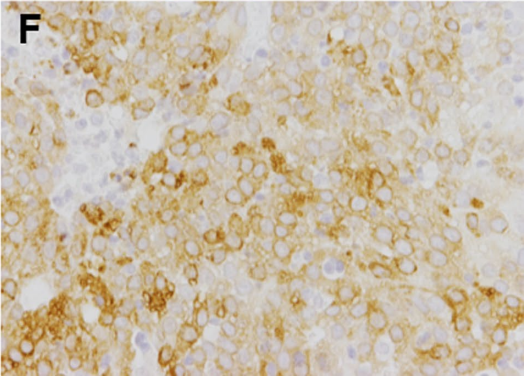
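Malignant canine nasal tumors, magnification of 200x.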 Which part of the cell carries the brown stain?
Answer: Cytoplasmic perinuclear staining pattern.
